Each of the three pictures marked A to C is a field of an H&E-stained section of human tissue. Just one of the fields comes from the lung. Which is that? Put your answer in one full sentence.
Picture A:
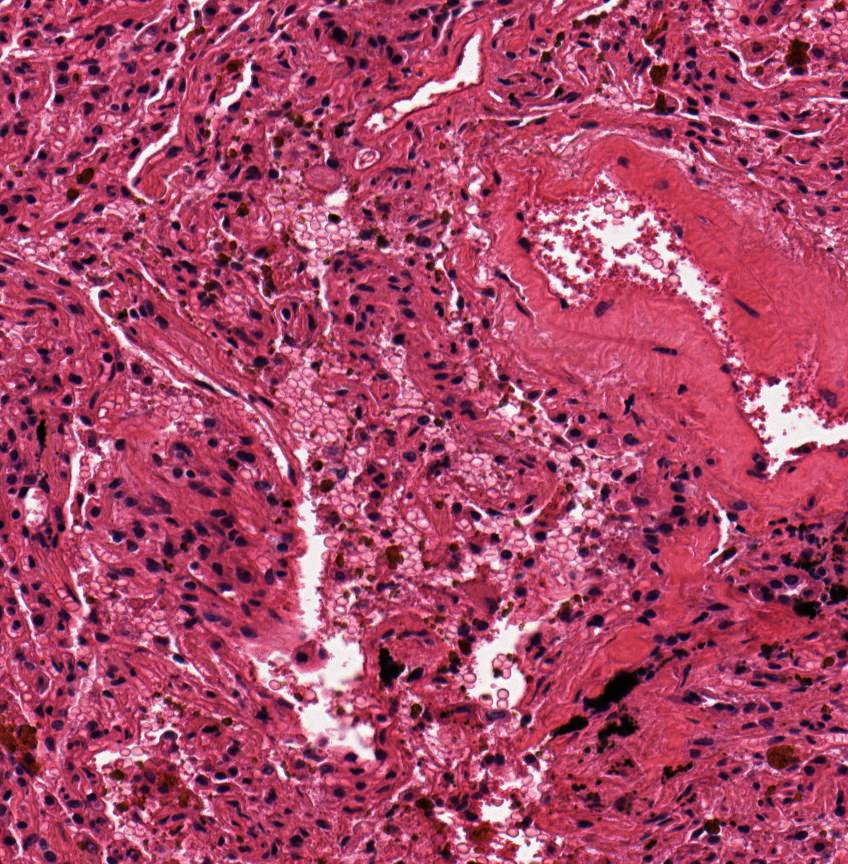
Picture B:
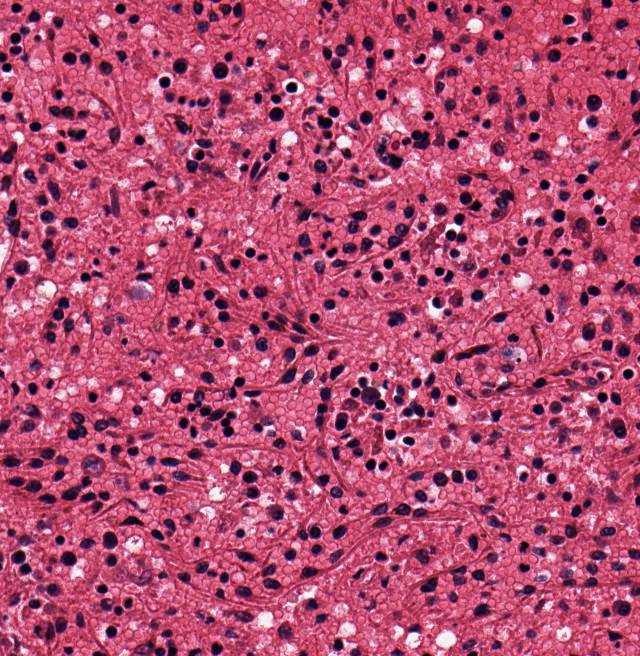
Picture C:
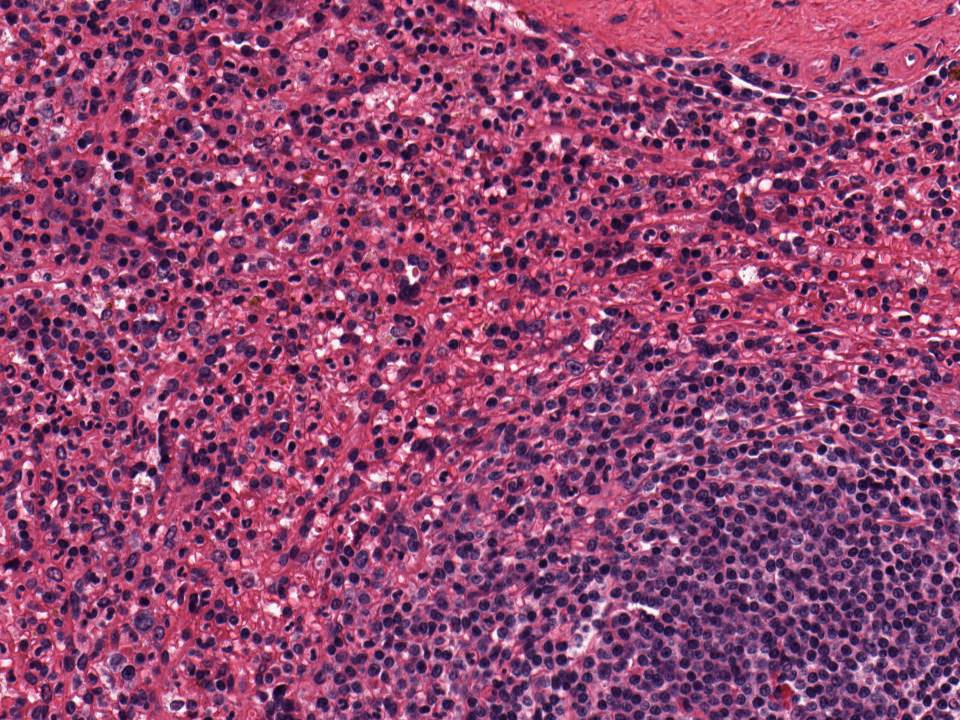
The one that comes from the lung is picture A.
